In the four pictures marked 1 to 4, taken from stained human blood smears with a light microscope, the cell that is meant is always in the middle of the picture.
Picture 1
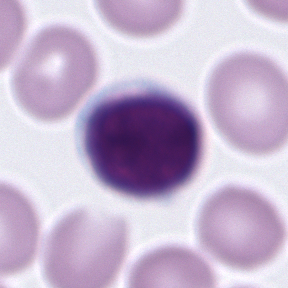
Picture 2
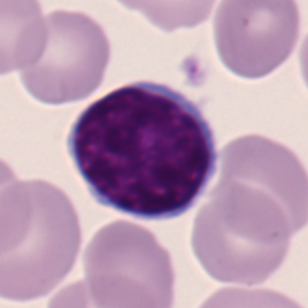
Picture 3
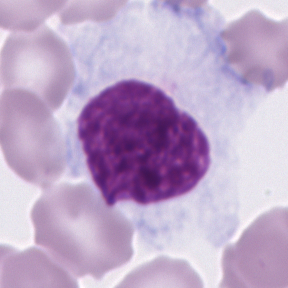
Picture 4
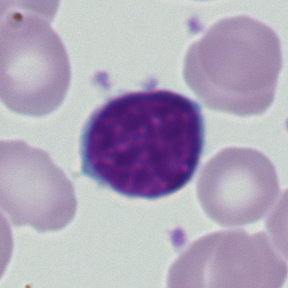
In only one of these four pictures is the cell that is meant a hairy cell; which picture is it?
3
